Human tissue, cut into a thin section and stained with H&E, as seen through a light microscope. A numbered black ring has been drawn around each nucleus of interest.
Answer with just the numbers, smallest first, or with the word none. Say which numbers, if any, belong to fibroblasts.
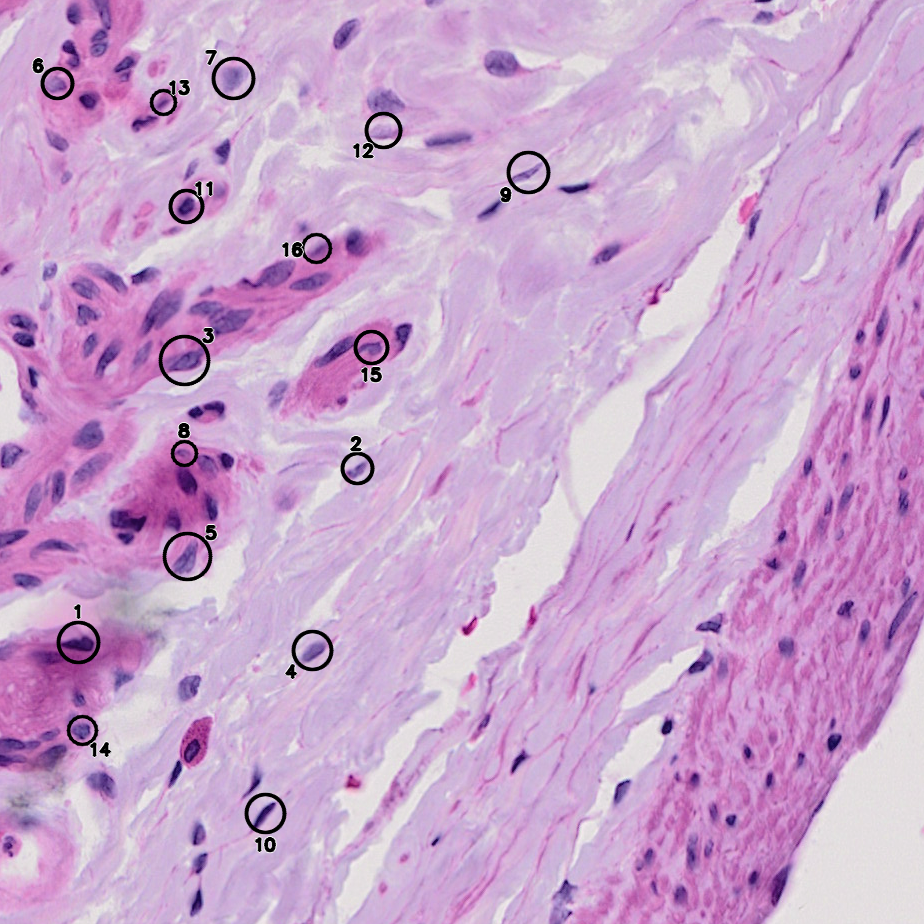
2, 4, 7, 9, 10, 12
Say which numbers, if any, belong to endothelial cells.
11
